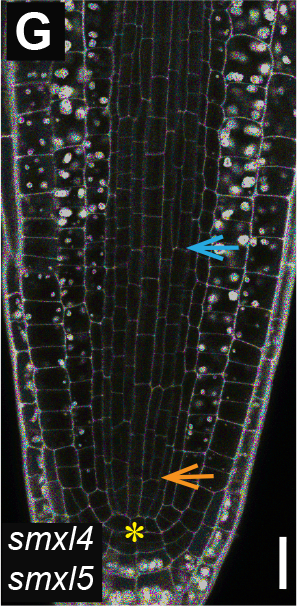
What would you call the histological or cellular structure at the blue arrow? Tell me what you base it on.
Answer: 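The arrow points to a place in an inner cell file where a lengthwise wall divides the file into two.
Conclusion: periclinal division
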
